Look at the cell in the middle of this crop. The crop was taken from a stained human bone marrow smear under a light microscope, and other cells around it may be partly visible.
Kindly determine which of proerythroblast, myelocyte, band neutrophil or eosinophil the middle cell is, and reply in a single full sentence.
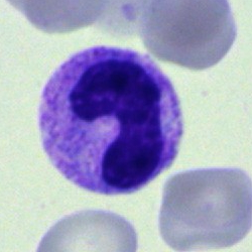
Whatever else lies nearby, the middle cell is a band neutrophil.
